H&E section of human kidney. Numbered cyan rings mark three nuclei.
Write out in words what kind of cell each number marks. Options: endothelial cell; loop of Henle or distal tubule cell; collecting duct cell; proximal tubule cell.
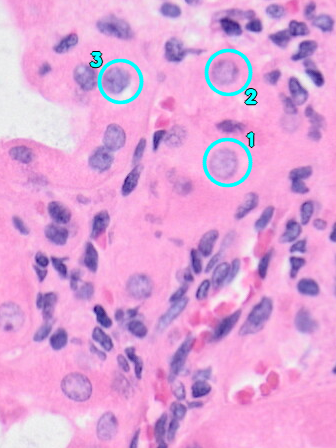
Cells 1 and 2 are proximal tubule cells. Cell 3 is a loop of Henle or distal tubule cell.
